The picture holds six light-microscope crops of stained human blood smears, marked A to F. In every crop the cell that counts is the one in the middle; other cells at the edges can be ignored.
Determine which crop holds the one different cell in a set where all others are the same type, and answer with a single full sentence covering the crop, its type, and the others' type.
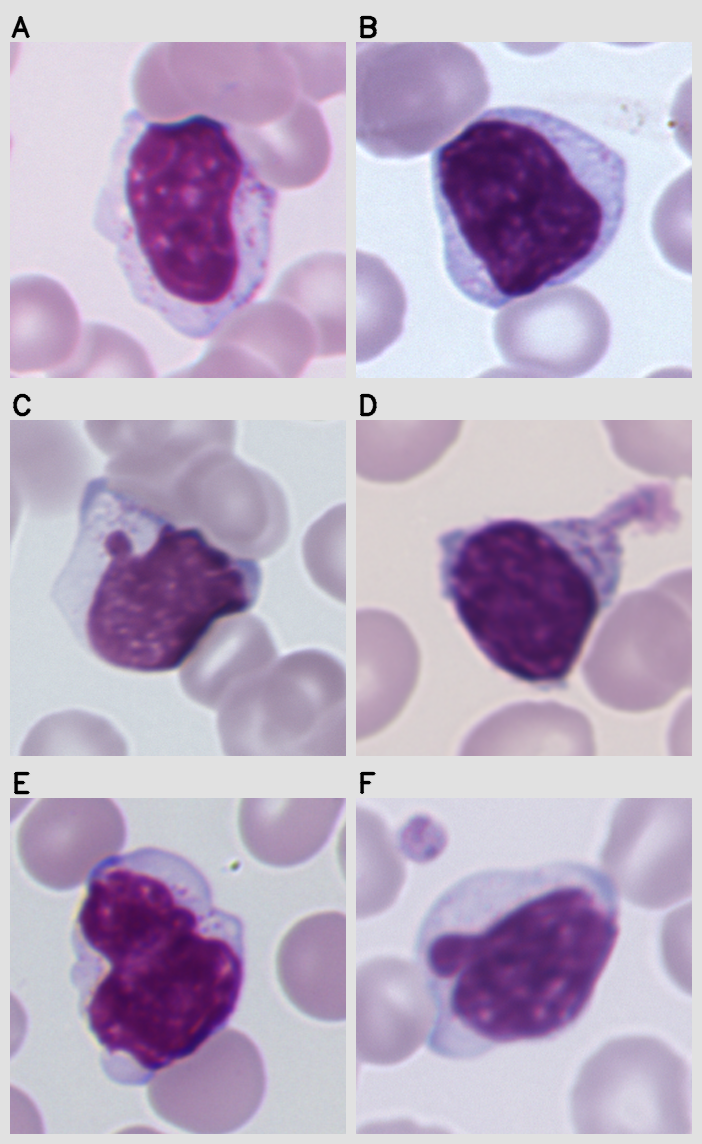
All the crops contain large granular lymphocytes save crop D, where there is a typical lymphocyte.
